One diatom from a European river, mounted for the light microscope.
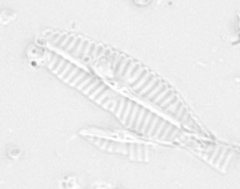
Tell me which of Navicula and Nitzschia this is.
The picture shows Navicula.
